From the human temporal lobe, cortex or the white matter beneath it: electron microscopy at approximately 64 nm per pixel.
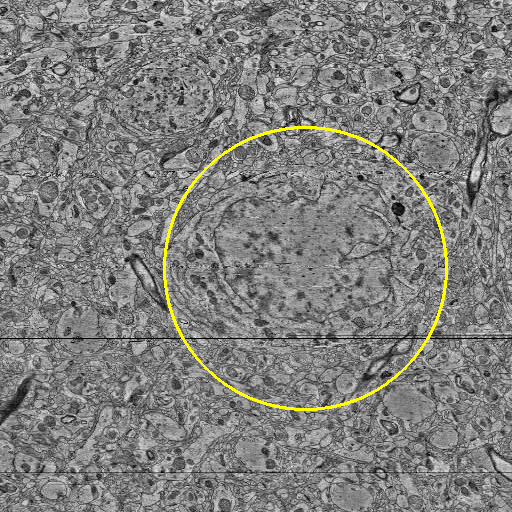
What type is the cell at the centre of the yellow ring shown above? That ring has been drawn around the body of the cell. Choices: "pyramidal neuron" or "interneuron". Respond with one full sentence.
My answer is that an interneuron lies at the centre of the yellow ring above.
